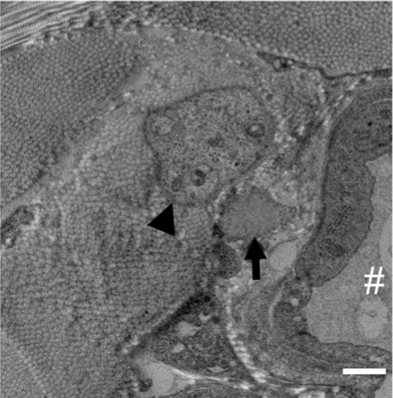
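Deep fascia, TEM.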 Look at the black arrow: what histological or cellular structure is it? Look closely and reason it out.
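Elastic fiber. A rounded, homogeneous grey amorphous profile. It lacks the dotted fibrillar pattern of the surrounding bundles.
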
